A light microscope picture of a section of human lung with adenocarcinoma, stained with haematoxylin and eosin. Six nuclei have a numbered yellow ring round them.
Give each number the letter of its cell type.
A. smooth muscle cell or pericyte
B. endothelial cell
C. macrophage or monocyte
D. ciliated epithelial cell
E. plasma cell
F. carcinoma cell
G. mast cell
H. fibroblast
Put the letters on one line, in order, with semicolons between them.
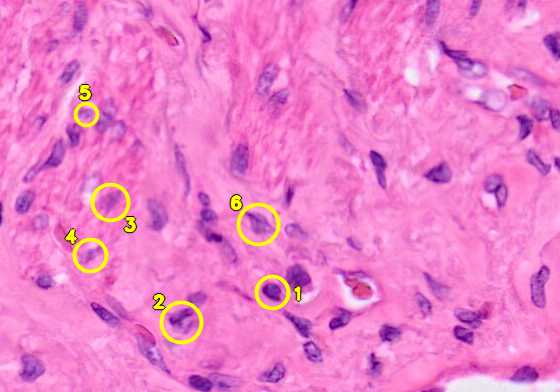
G; H; A; A; A; H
